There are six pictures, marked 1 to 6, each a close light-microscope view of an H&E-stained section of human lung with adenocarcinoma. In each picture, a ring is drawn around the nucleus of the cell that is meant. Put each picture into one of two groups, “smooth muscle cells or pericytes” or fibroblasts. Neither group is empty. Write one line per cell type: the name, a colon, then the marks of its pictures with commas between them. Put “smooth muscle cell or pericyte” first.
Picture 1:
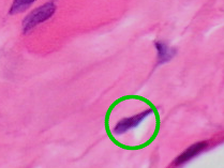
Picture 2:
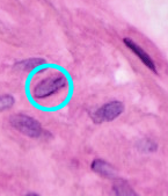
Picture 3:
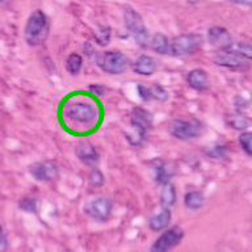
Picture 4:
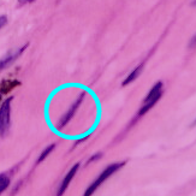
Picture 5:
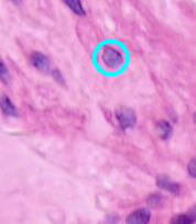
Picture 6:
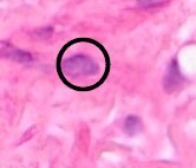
smooth muscle cell or pericyte: 2, 3, 5, 6
fibroblast: 1, 4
